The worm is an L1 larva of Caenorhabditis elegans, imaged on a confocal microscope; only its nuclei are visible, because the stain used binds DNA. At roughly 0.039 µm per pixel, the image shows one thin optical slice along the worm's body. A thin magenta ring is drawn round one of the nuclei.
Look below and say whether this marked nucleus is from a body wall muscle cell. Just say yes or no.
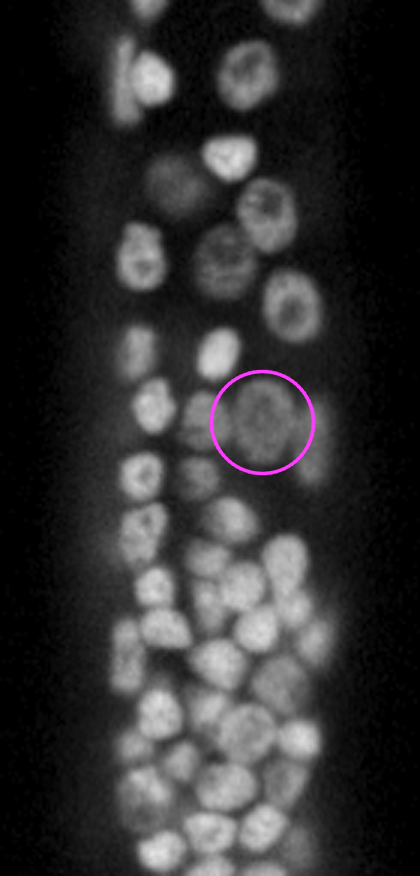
no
